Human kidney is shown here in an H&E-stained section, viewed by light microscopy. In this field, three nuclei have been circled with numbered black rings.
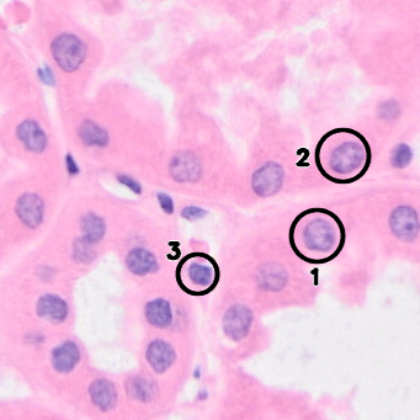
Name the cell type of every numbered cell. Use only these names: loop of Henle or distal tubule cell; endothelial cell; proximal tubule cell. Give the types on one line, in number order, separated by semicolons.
proximal tubule cell; proximal tubule cell; endothelial cell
